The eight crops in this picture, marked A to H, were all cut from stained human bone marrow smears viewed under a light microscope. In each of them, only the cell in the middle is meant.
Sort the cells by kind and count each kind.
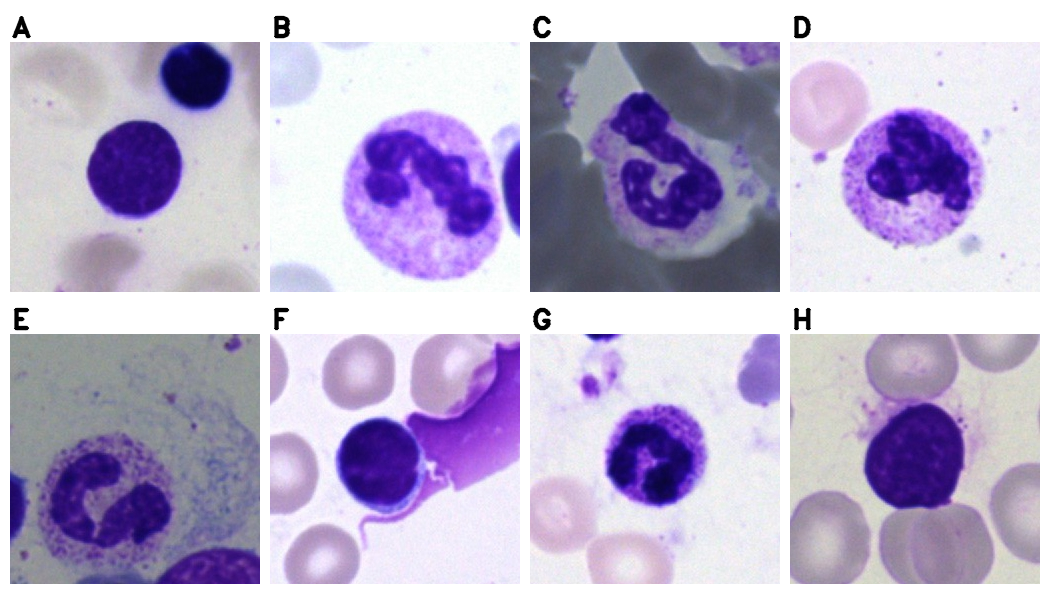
segmented neutrophil: 5
lymphocyte: 3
